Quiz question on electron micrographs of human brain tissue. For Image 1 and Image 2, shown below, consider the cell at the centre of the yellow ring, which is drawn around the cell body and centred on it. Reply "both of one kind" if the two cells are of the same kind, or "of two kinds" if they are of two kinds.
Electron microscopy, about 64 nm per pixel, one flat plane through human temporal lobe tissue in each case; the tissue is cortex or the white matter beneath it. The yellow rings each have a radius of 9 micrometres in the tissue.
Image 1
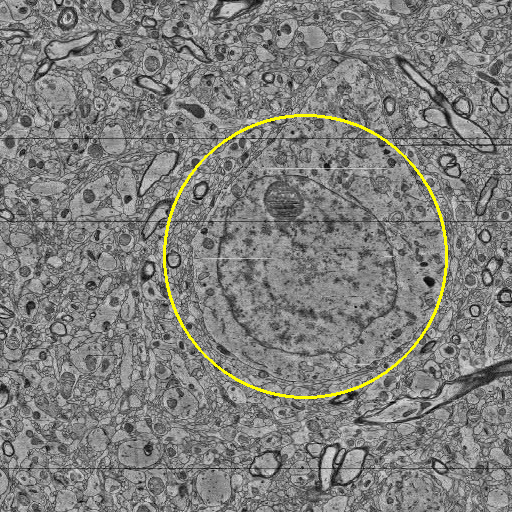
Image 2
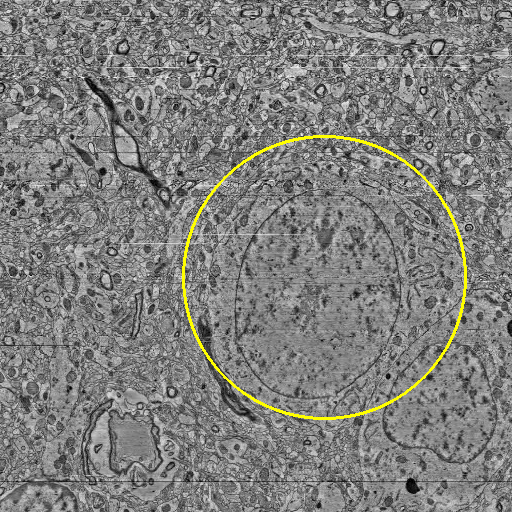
both of one kind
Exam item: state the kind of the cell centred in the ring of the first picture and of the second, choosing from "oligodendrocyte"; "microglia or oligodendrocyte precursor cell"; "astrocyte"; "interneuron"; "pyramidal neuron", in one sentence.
Both pictures show a pyramidal neuron at the centre of the ring.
